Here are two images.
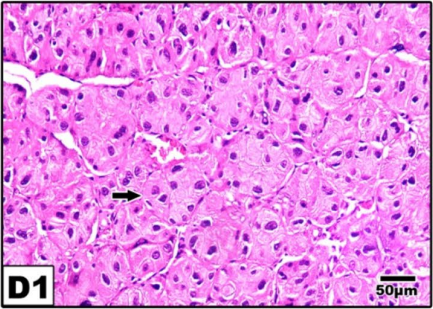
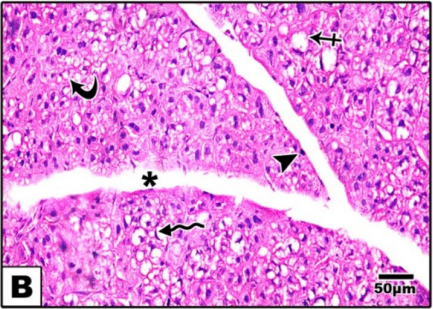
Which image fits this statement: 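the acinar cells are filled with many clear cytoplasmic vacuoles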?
The second image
